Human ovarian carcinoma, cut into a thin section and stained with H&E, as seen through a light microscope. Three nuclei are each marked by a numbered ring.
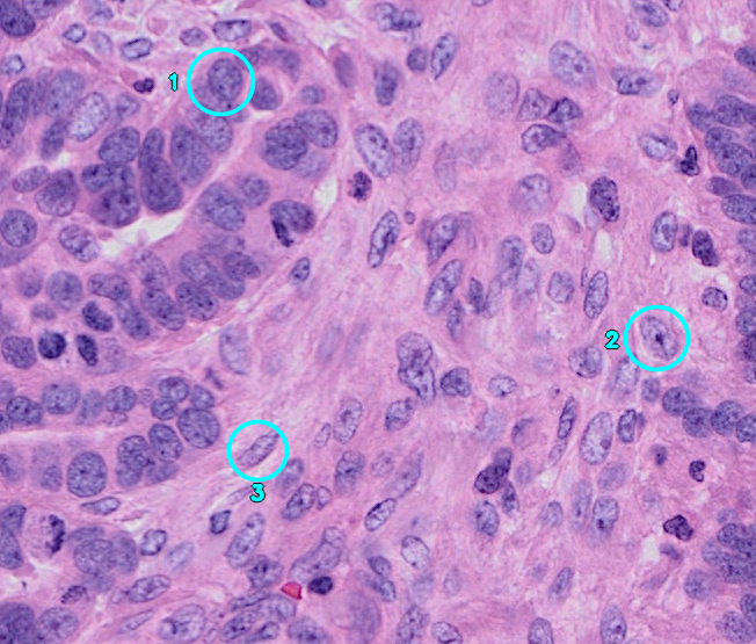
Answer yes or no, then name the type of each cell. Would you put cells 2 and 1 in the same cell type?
No, a fibroblast is what cell 2 is, and a carcinoma cell is what cell 1 is.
